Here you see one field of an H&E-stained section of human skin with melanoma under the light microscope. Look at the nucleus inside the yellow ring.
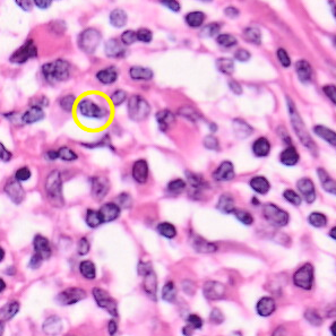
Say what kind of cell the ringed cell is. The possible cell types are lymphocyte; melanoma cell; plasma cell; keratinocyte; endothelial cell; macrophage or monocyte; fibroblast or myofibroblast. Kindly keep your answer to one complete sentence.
To be brief about it, the ringed cell is a lymphocyte.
